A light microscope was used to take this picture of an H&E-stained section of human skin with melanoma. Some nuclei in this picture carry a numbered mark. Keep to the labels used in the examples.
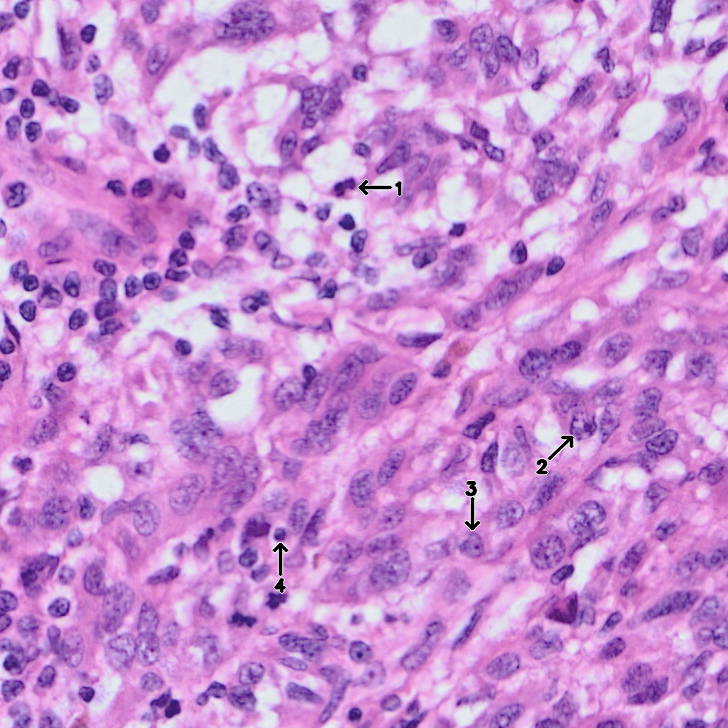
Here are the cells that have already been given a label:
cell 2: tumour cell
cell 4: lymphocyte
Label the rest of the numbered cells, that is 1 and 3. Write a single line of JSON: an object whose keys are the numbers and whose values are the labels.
{"1": "lymphocyte", "3": "tumour cell"}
